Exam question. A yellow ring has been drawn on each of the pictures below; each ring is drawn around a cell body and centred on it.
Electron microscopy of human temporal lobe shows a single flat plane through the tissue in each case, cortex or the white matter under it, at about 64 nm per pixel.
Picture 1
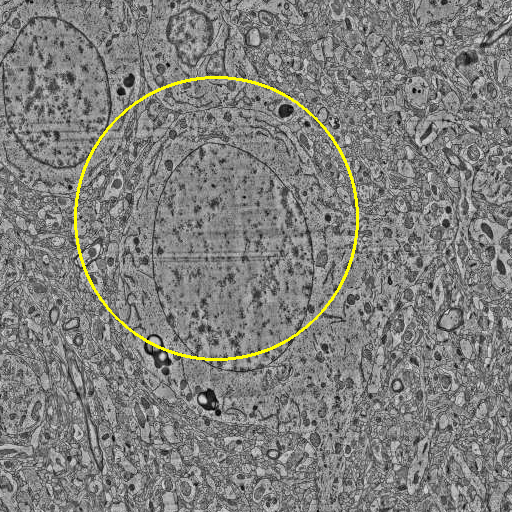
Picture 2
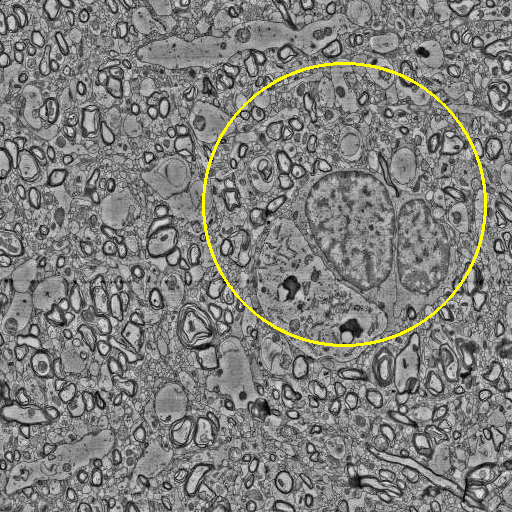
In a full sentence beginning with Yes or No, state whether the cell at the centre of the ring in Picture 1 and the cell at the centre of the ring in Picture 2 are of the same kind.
No, the cells are of two kinds.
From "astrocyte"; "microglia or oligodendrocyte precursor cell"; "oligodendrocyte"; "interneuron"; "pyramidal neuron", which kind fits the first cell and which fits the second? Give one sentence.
The cell marked in the first picture is a pyramidal neuron, and the one marked in the second is an oligodendrocyte.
